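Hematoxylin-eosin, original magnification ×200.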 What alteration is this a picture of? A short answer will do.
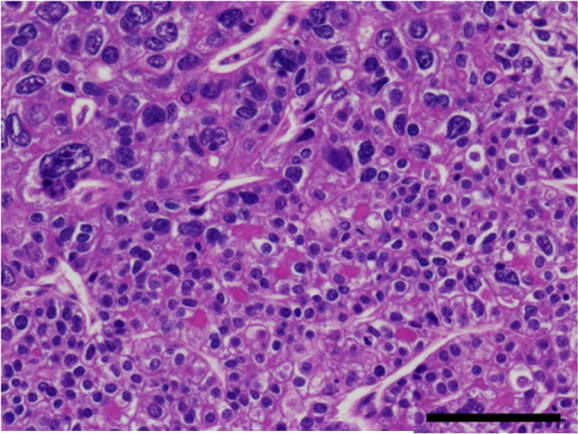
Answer: Moderate to severe nuclear atypia.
